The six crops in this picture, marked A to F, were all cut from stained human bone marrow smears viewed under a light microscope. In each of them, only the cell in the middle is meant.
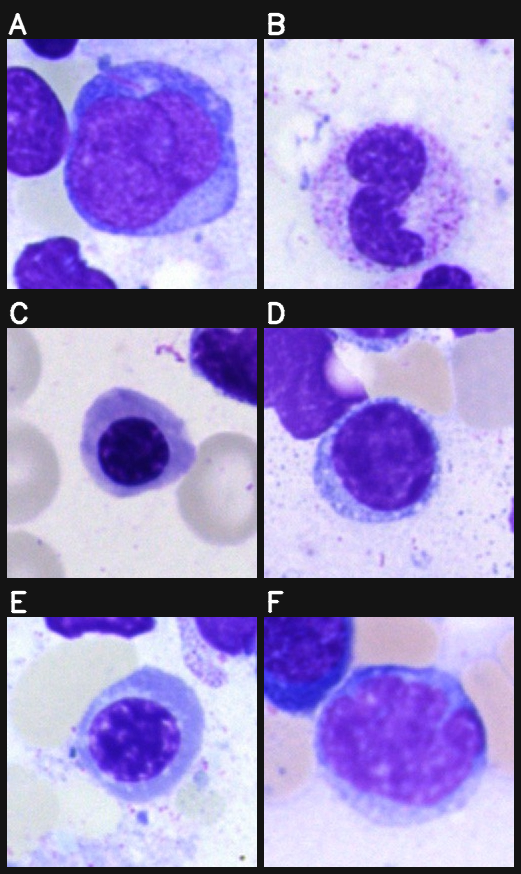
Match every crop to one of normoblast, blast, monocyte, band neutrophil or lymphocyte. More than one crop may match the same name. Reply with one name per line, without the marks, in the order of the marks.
blast
band neutrophil
normoblast
lymphocyte
normoblast
monocyte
